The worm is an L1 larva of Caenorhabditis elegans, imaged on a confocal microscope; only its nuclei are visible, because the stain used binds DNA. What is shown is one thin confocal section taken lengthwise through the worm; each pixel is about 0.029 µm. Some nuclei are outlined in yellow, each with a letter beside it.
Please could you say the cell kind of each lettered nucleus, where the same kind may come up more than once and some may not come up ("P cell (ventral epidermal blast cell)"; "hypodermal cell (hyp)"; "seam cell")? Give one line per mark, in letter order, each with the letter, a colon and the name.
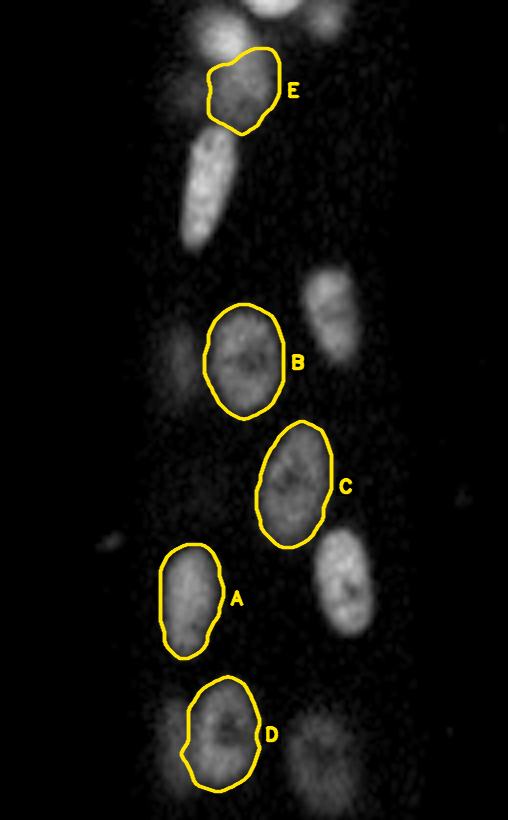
A: P cell (ventral epidermal blast cell)
B: seam cell
C: hypodermal cell (hyp)
D: seam cell
E: P cell (ventral epidermal blast cell)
